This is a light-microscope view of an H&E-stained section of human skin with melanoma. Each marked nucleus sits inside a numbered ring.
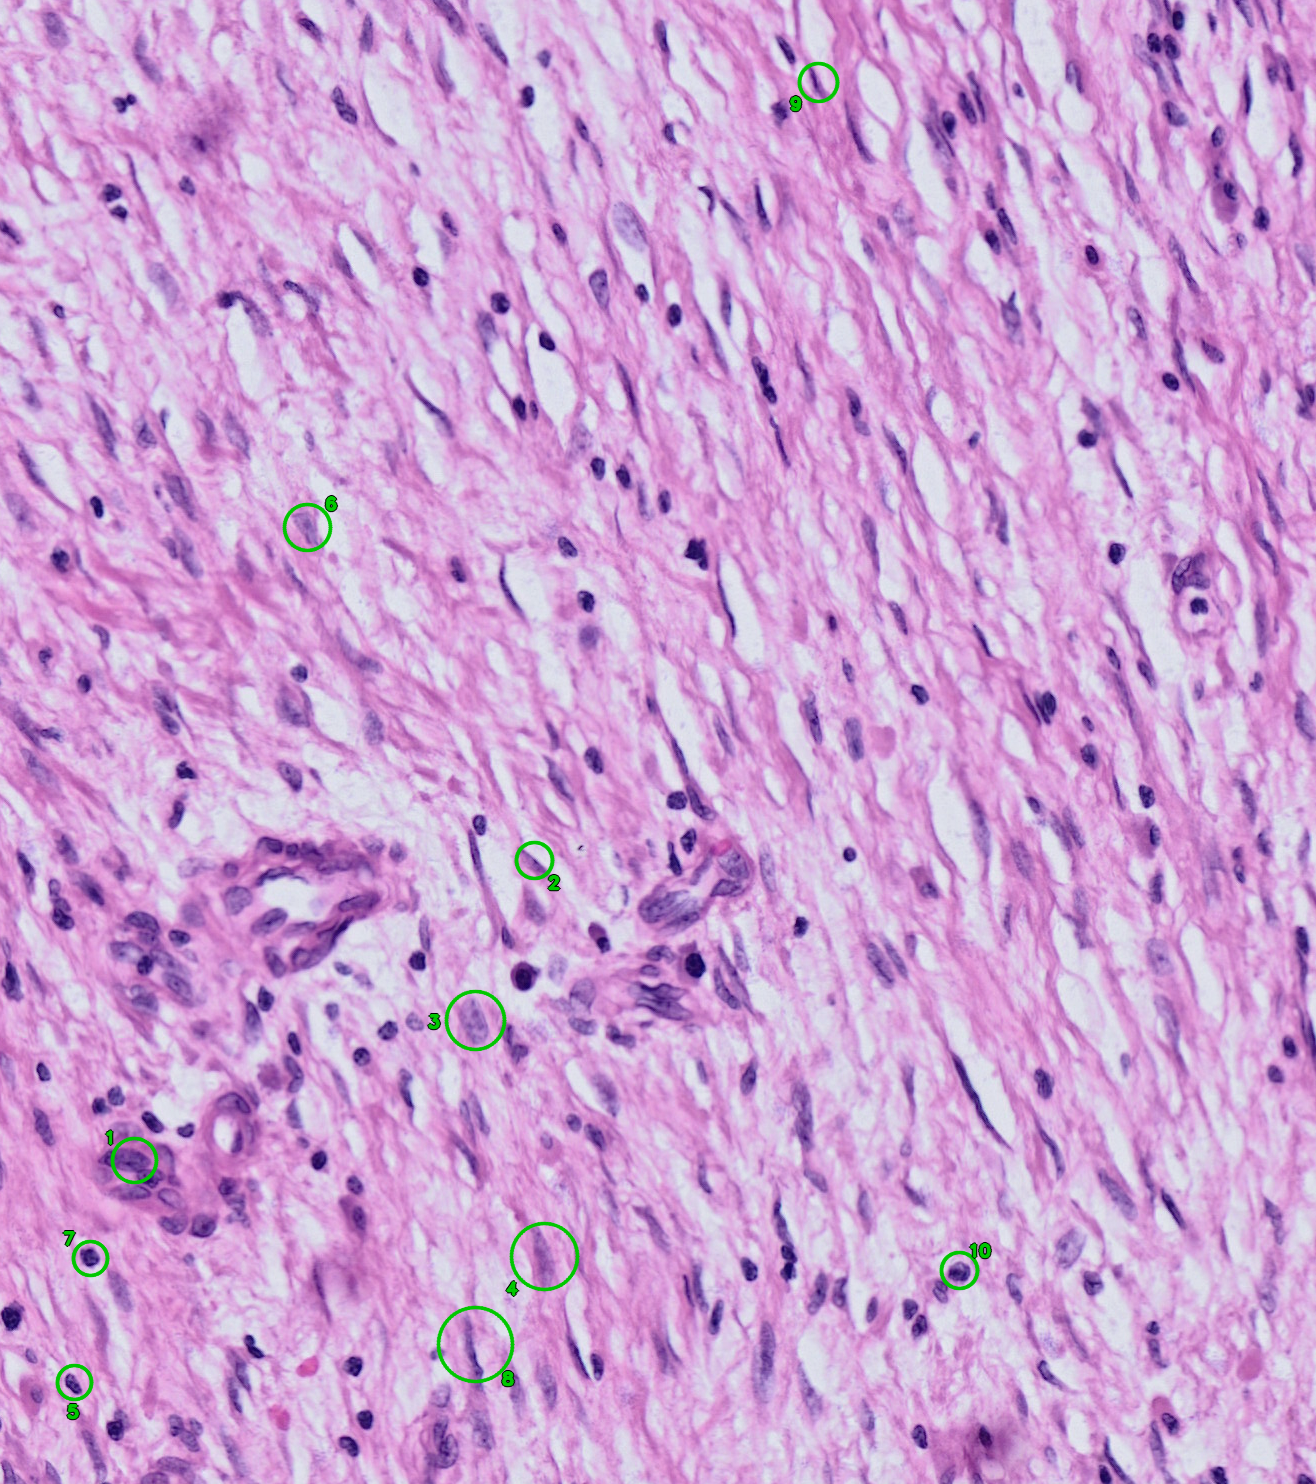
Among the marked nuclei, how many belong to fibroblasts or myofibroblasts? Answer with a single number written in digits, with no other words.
6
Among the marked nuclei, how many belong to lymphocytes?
3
